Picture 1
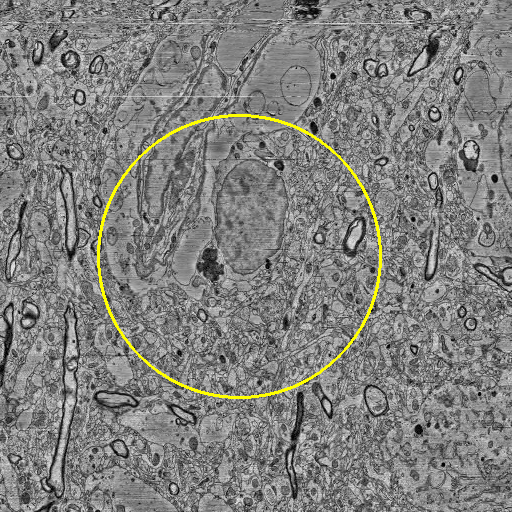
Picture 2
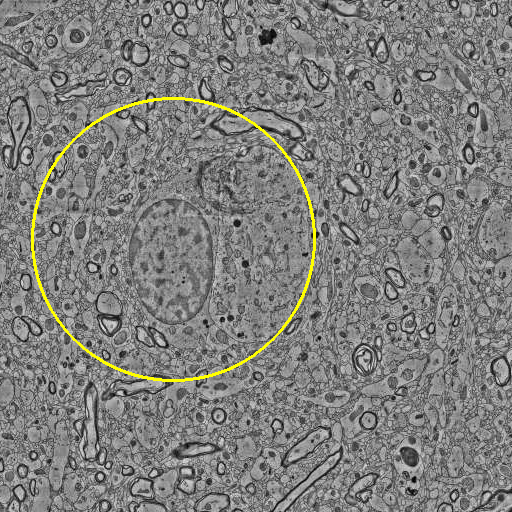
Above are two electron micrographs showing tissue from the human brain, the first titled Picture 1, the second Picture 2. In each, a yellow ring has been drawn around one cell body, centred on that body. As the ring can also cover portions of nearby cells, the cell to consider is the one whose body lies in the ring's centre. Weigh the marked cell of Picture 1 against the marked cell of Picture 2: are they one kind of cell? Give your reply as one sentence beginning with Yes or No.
Yes, the two cells sitting at the ring centres in the pictures are of one kind.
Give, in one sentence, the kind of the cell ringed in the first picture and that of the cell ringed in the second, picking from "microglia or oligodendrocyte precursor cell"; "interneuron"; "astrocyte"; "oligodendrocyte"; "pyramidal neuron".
Each cell, in the first picture and the second, is an oligodendrocyte.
